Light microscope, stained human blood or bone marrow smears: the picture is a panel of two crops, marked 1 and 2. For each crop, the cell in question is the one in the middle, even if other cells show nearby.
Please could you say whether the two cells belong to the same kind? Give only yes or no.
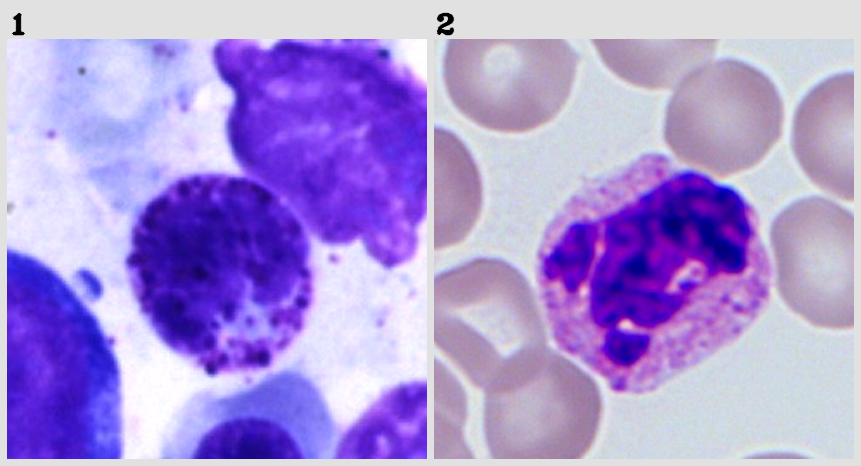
yes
